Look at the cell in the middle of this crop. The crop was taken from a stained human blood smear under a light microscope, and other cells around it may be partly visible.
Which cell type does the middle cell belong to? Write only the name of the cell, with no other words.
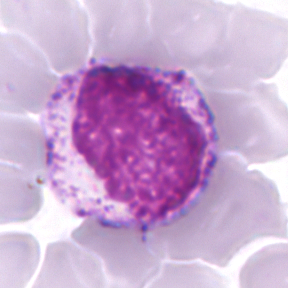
myelocyte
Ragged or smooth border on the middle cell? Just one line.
The periphery of this cell is uneven, with ragged portions or projections.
